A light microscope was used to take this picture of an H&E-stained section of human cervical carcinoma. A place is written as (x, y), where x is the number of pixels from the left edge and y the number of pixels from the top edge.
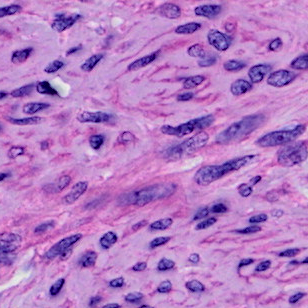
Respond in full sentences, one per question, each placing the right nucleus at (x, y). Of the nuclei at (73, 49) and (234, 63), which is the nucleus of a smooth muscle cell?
Heads up, the nucleus at (234, 63) is the one that belongs to a smooth muscle cell.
